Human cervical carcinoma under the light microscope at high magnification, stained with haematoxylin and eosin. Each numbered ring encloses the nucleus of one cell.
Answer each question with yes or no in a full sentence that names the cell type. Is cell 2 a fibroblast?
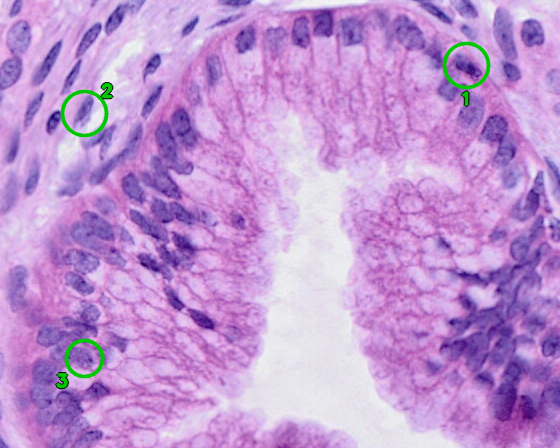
Yes, to put it simply, cell number 2 is a fibroblast.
